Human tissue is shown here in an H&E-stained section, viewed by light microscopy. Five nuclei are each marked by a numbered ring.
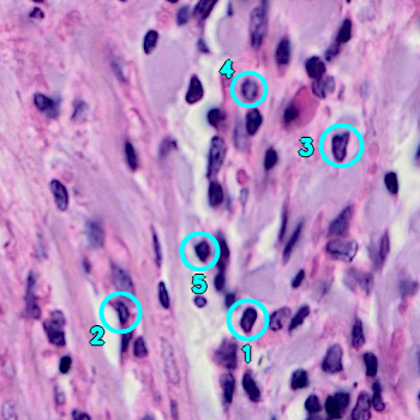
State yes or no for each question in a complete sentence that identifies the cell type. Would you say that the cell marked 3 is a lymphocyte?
Yes, the cell carrying number 3 is a lymphocyte.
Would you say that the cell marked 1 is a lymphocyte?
Yes, the cell tagged with number 1 is a lymphocyte.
